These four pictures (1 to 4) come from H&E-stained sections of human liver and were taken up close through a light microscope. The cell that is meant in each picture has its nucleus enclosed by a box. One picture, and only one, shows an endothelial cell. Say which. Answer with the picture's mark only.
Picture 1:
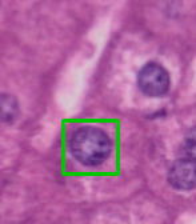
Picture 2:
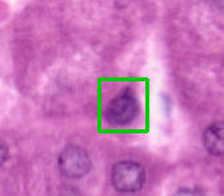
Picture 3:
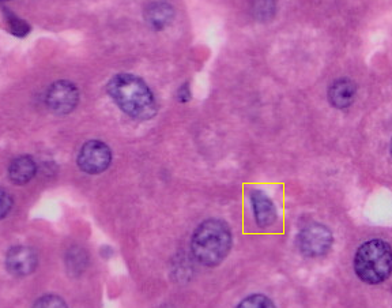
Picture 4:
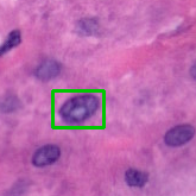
3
